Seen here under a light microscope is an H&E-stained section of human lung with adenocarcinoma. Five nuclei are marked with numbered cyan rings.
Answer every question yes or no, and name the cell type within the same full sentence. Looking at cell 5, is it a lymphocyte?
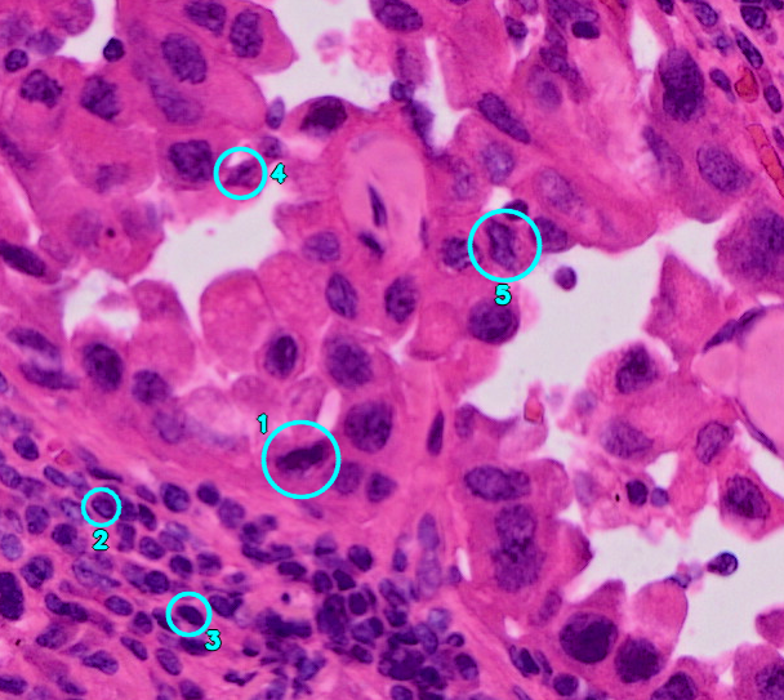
No, the cell with number 5 is not a lymphocyte but a carcinoma cell.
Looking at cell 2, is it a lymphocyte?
Yes, the marked cell numbered 2 is a lymphocyte.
